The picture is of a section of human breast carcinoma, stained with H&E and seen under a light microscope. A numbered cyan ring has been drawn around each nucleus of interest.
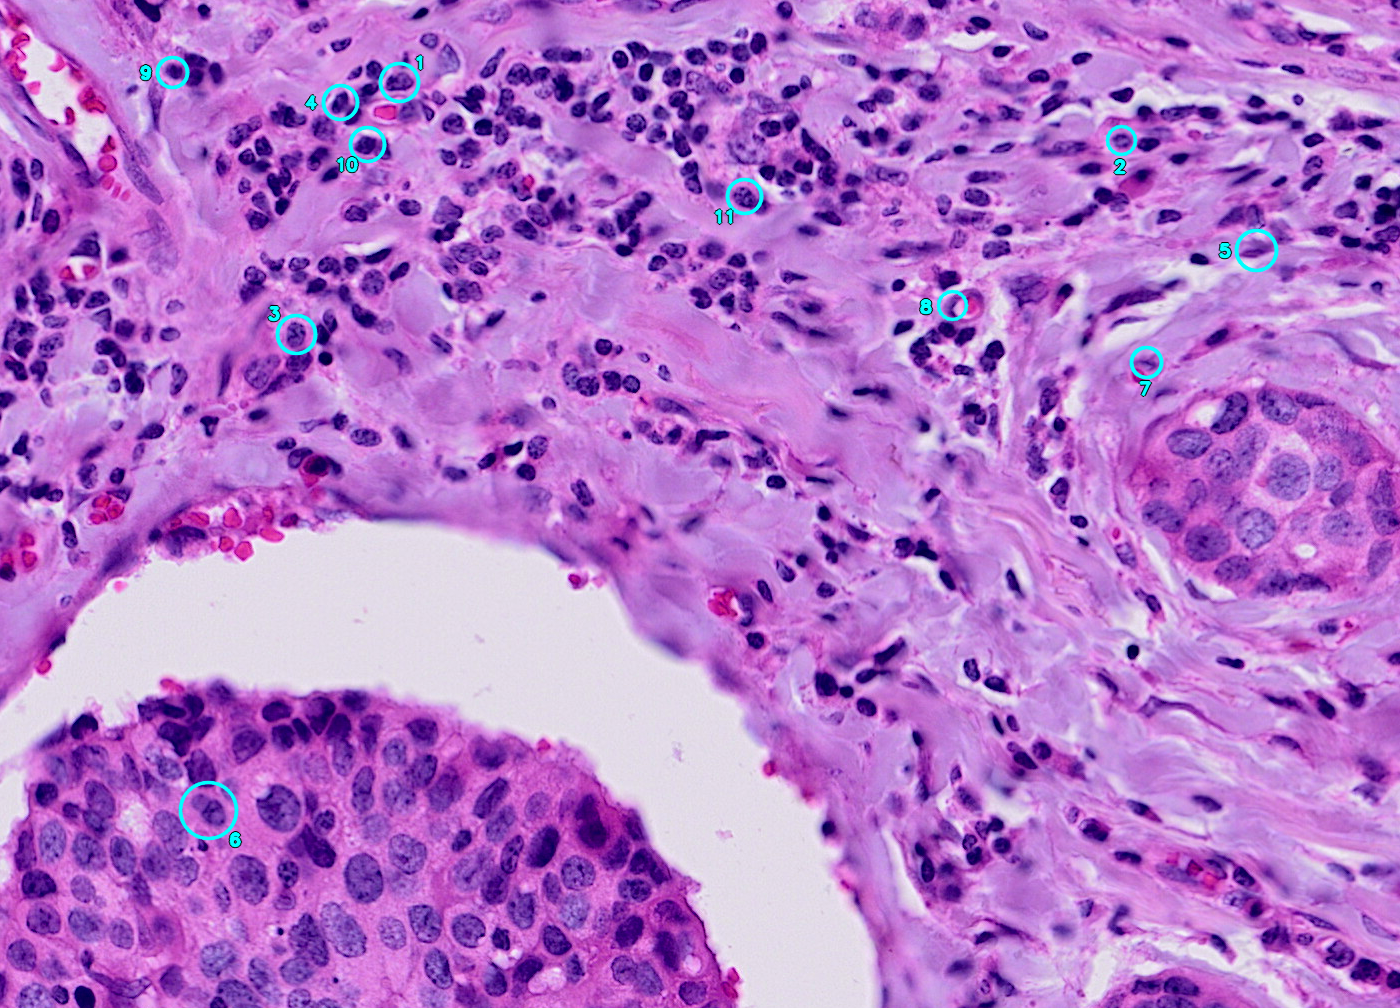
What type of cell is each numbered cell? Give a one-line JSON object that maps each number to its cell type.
{"1": "lymphocyte", "2": "mast cell", "3": "mast cell", "4": "lymphocyte", "5": "fibroblast", "6": "carcinoma cell", "7": "endothelial cell", "8": "endothelial cell", "9": "lymphocyte", "10": "lymphocyte", "11": "mast cell"}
